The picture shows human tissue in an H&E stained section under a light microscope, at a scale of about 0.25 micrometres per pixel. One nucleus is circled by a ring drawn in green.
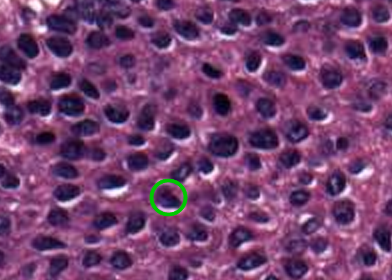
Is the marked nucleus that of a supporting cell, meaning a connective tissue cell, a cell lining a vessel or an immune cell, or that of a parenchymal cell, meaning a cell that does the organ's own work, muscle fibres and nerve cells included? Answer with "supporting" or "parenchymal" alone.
parenchymal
